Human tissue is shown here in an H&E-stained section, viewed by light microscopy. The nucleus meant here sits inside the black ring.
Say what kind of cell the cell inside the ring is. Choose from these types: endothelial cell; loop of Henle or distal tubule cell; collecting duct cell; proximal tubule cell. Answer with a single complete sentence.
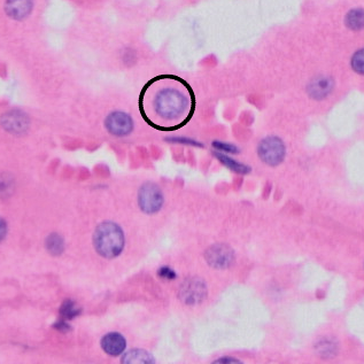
In terms of identity, the cell inside the ring is a proximal tubule cell.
